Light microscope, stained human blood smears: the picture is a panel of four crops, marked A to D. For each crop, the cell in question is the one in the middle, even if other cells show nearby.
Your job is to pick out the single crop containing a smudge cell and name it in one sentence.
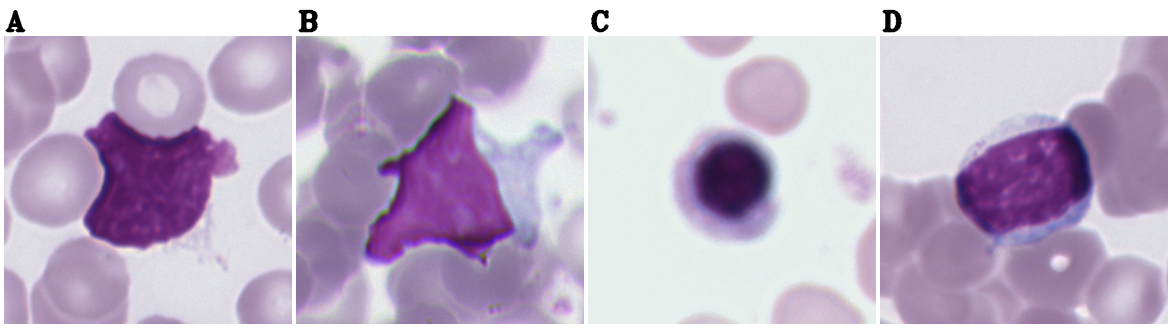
Crop A is the one to choose: it shows a smudge cell.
